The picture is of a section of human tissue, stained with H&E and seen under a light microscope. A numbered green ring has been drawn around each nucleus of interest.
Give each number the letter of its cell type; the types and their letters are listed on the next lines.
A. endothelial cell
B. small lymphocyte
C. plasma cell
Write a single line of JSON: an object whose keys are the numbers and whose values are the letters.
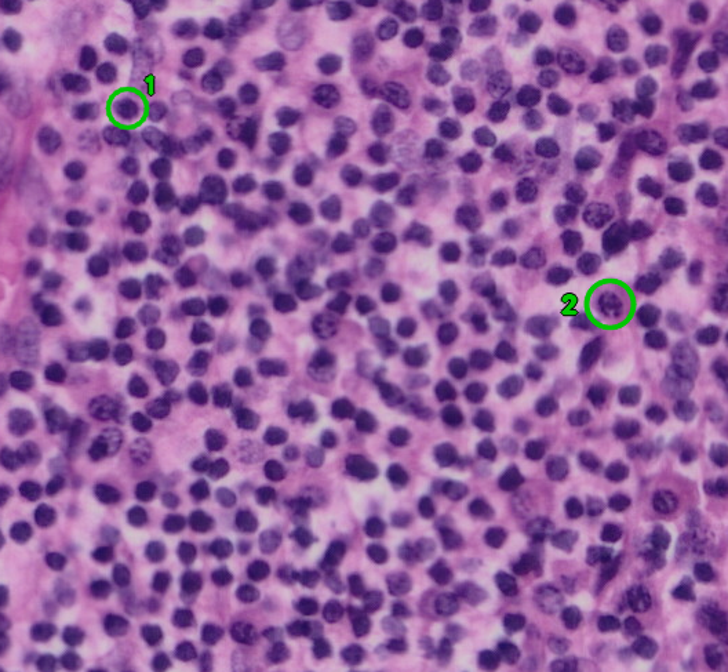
{"1": "B", "2": "C"}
